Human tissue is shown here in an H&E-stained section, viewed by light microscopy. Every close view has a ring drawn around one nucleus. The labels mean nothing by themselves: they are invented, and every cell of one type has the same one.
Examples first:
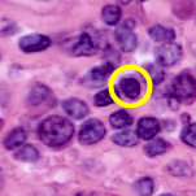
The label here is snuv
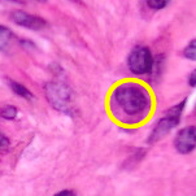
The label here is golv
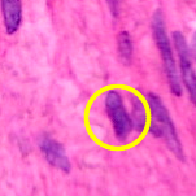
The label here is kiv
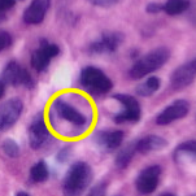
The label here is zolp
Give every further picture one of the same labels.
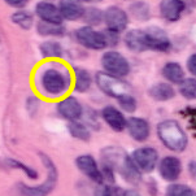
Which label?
snuv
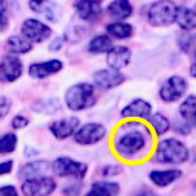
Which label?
snuv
